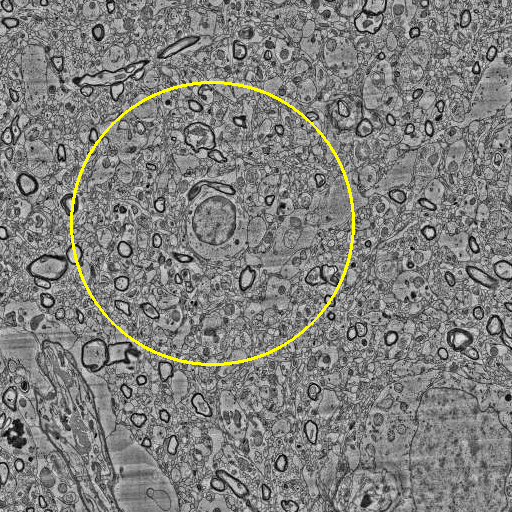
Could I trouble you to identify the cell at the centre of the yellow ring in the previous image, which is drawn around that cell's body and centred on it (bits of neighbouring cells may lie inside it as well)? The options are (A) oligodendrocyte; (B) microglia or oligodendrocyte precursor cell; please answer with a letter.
B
